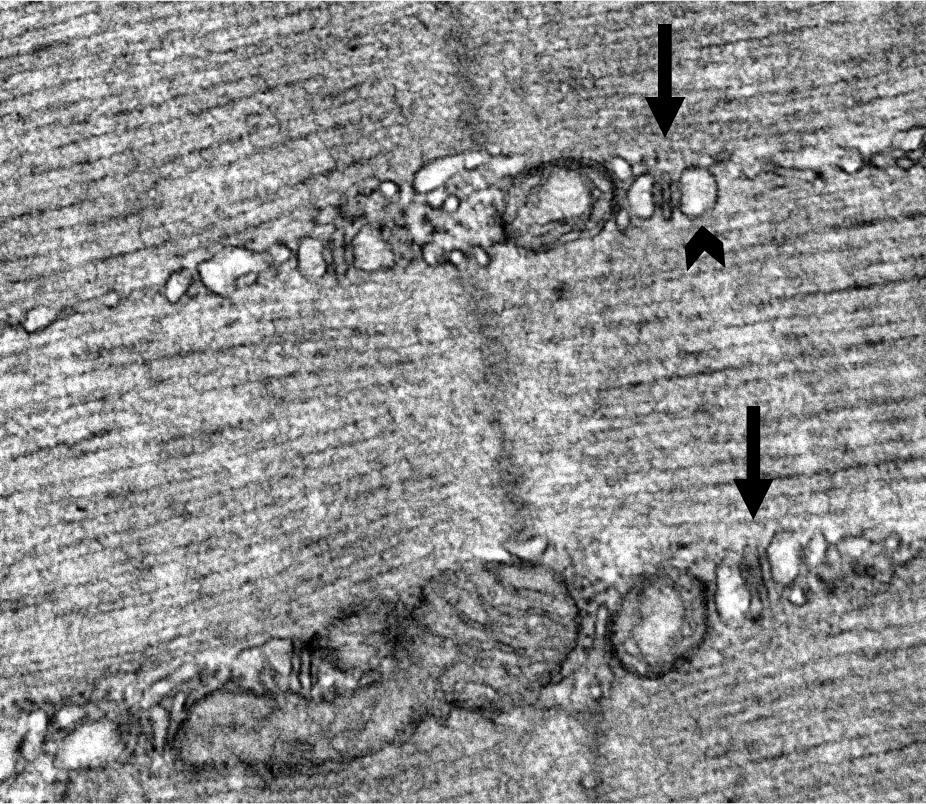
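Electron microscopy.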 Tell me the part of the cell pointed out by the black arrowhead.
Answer: Sarcoplasmic reticulum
